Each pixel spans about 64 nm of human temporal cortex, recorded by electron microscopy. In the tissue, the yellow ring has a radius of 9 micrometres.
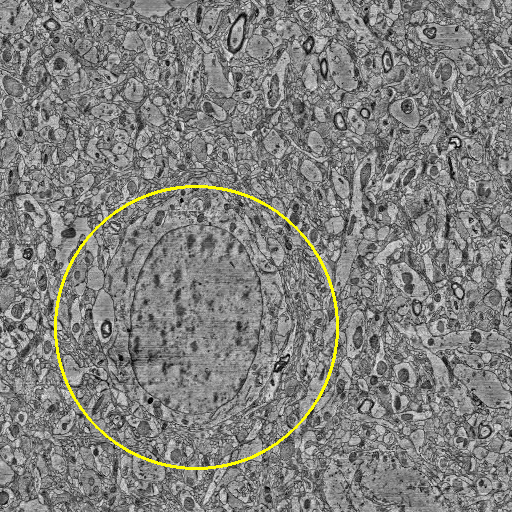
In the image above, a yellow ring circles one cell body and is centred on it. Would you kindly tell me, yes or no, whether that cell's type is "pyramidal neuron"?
yes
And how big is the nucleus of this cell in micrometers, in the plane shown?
In this plane the nucleus is clearly longer than it is wide, at approximately 13 by 8 micrometres.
